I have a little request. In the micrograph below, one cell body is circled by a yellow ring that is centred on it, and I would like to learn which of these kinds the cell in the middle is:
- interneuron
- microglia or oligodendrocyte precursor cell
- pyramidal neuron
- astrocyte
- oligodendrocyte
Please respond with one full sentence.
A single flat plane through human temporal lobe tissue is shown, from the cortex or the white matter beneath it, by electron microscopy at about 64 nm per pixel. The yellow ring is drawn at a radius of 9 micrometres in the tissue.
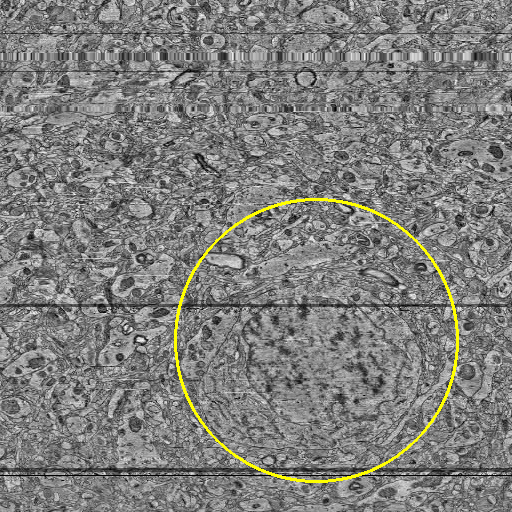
The cell sitting in the middle of the yellow ring in the micrograph is an interneuron.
